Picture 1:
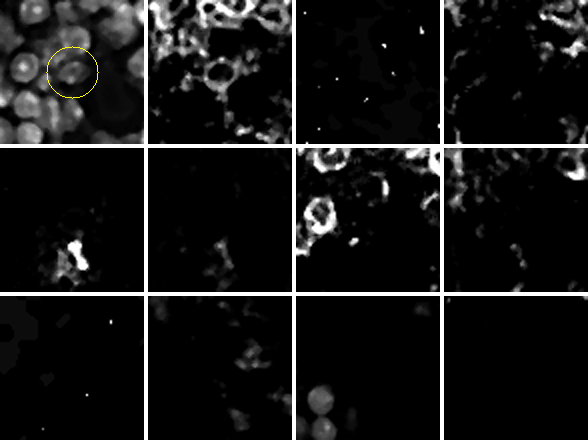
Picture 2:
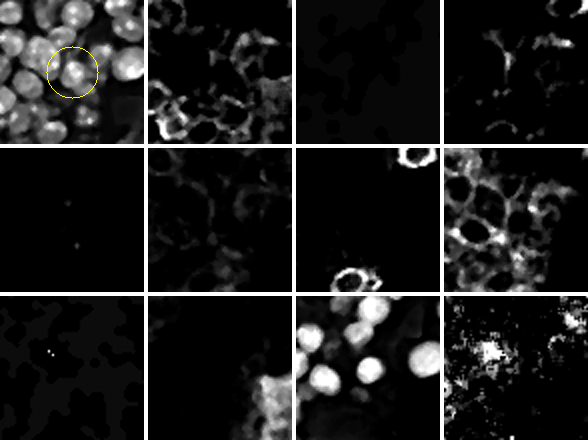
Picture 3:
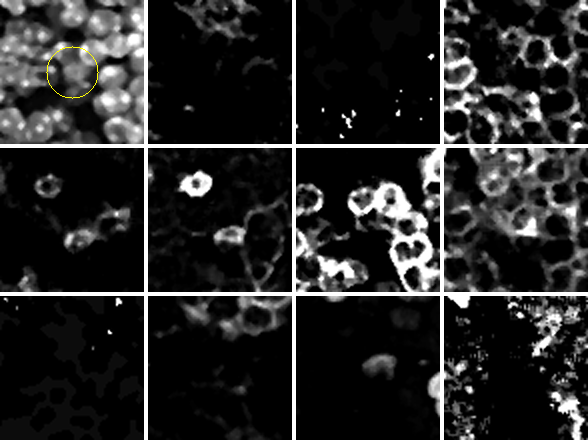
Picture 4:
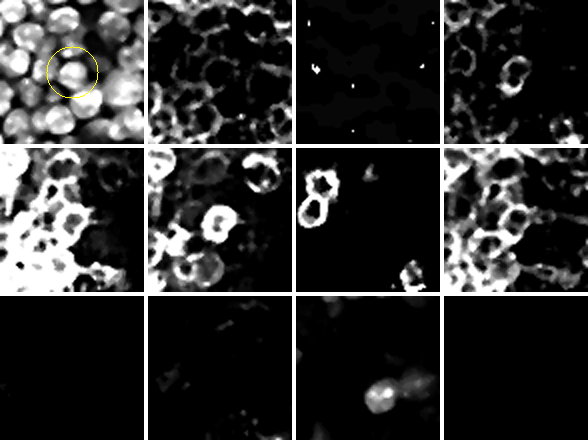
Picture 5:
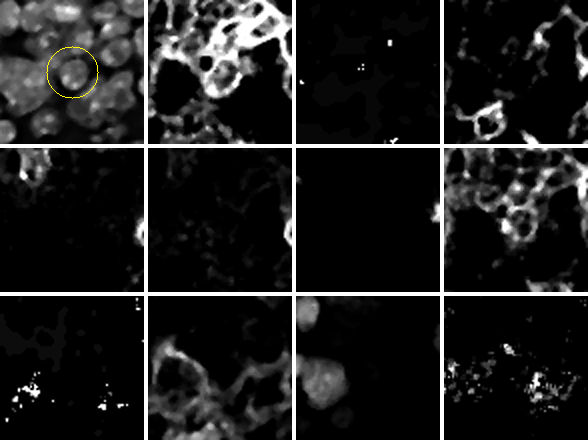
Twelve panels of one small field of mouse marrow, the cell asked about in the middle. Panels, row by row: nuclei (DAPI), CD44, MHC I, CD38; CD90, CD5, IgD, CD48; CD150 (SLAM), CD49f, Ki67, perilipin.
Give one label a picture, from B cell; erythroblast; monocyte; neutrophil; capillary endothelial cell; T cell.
1. neutrophil
2. erythroblast
3. B cell
4. T cell
5. monocyte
